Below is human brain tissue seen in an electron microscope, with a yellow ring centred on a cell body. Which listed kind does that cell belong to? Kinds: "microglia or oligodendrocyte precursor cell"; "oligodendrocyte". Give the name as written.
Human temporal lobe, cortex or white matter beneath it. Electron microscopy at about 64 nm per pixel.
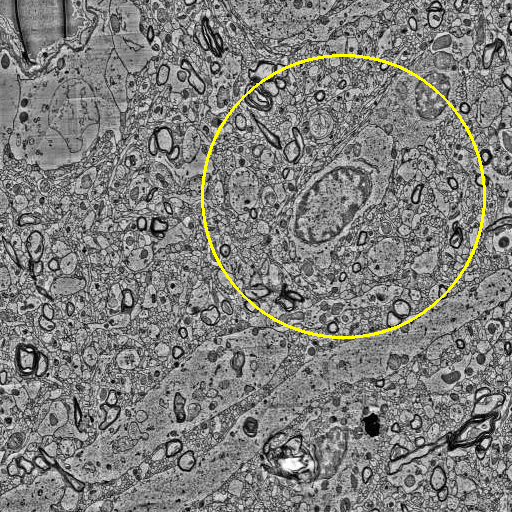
microglia or oligodendrocyte precursor cell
